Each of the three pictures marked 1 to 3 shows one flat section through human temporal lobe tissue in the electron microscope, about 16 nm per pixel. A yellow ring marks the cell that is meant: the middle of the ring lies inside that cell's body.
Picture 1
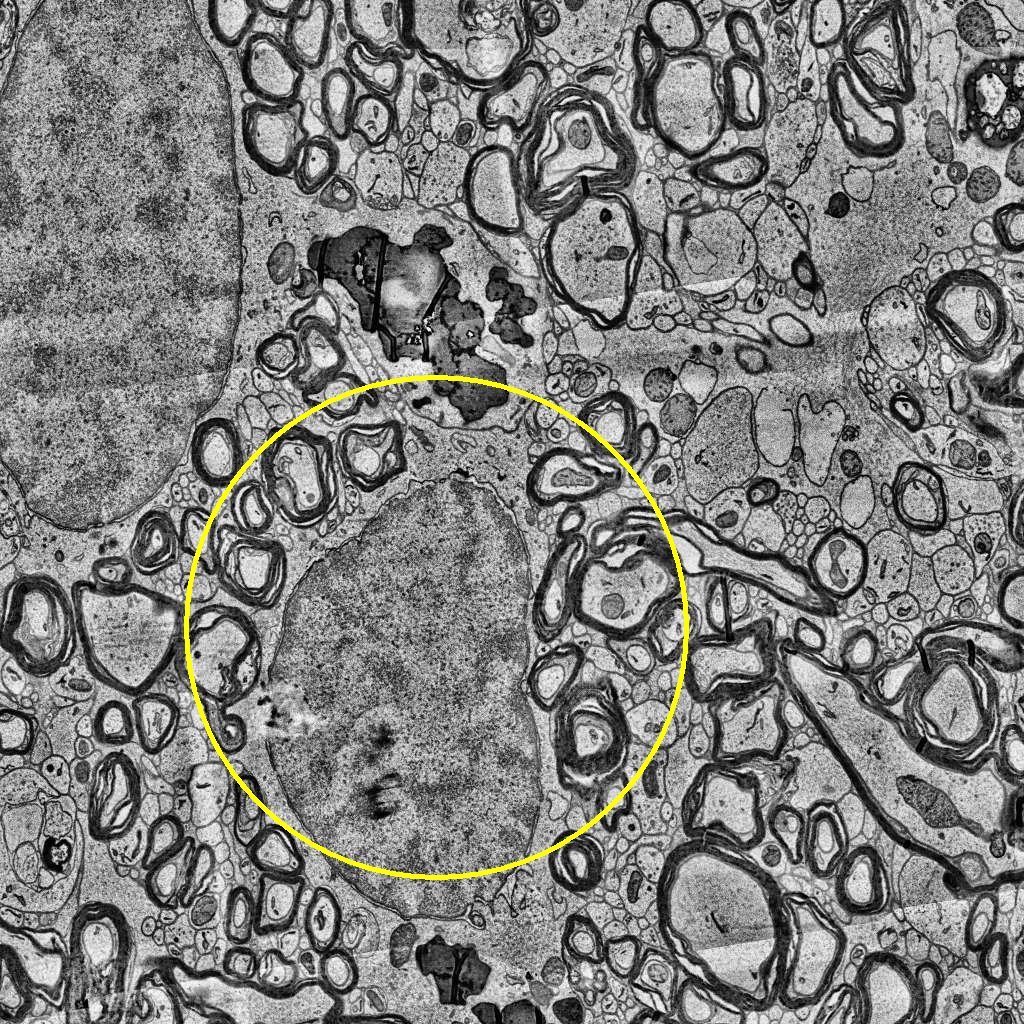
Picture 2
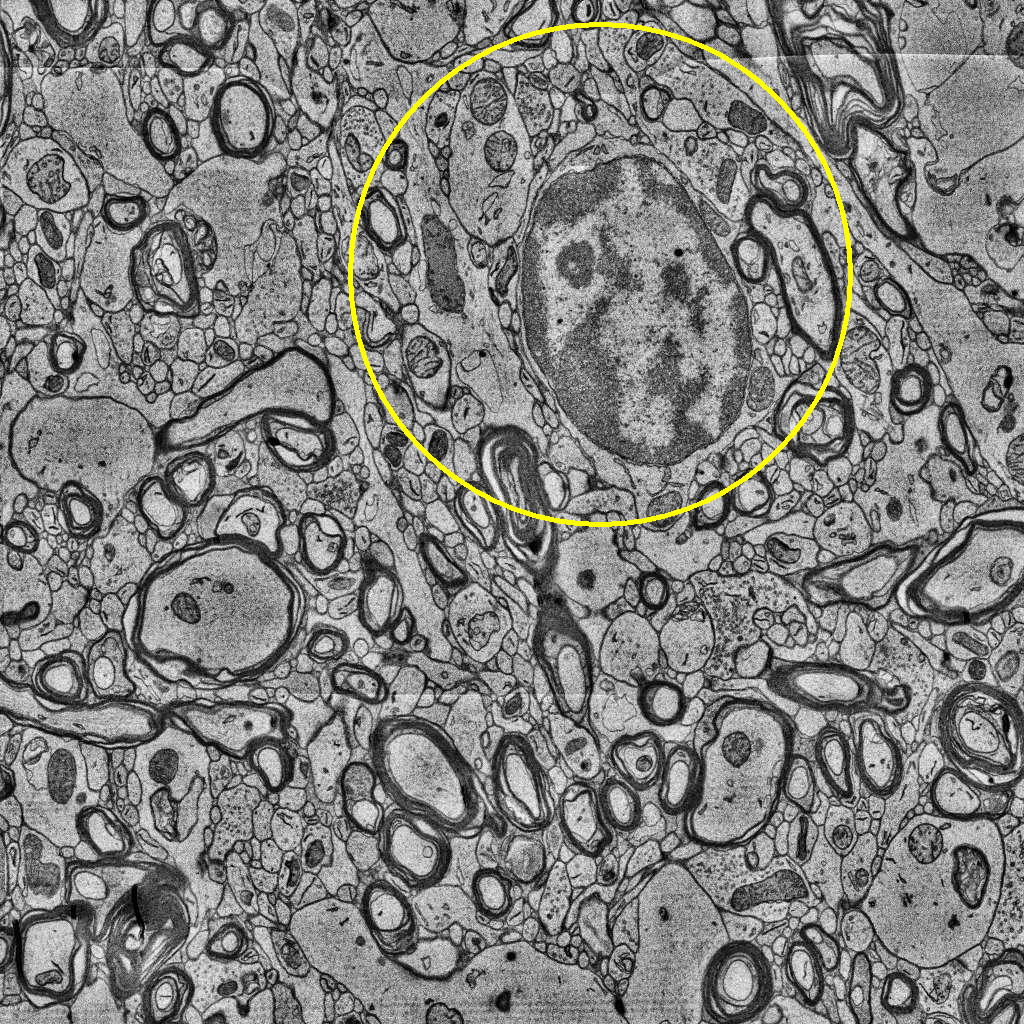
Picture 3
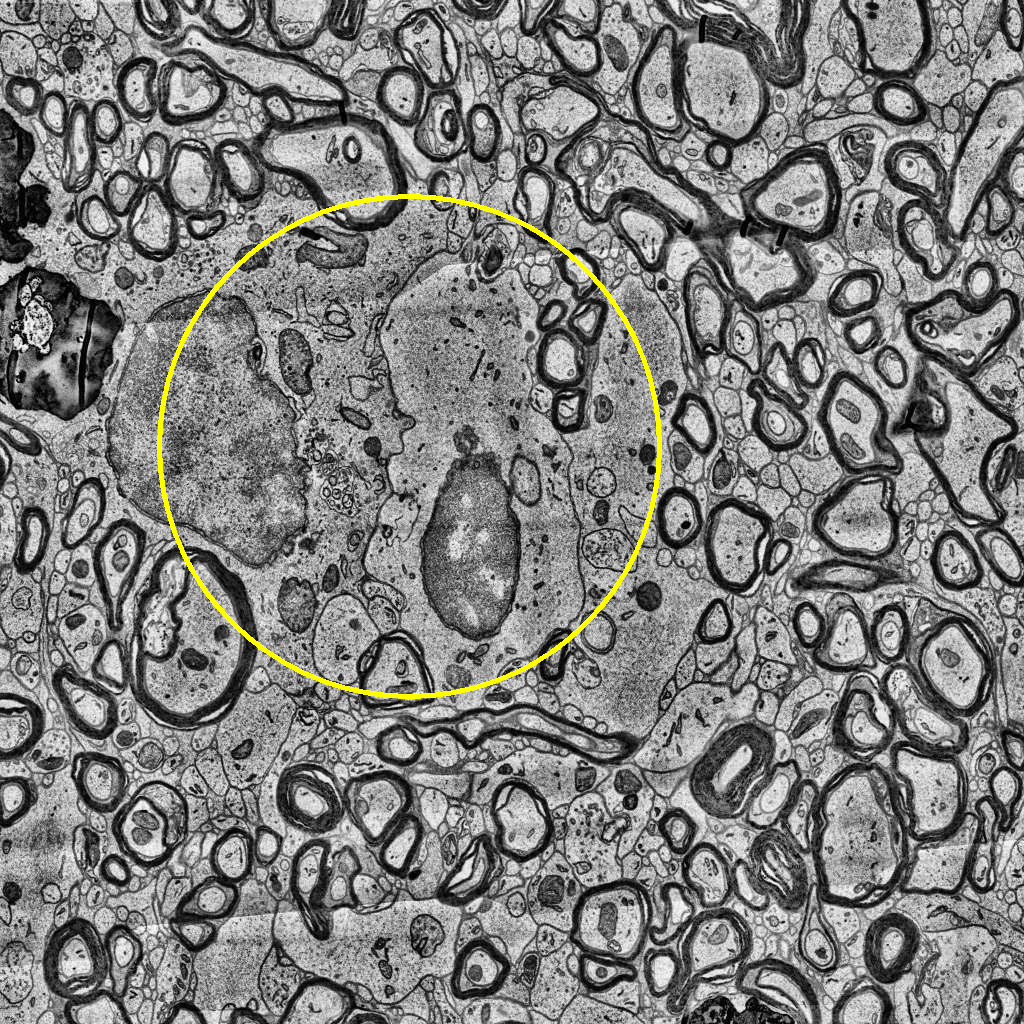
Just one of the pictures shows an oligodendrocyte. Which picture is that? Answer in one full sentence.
It is picture 1 that shows the oligodendrocyte.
